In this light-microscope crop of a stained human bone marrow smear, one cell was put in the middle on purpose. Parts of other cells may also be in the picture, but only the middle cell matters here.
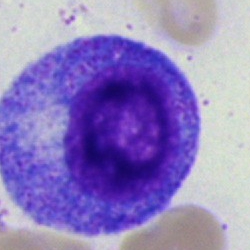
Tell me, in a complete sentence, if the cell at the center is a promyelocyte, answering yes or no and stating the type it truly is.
Yes, the centre of the crop holds a promyelocyte.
